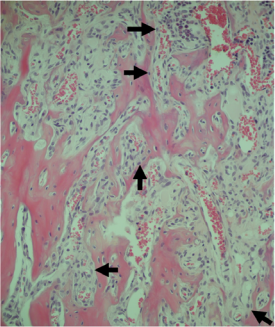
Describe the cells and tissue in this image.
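Newly forming bone in the marrow compartment, with irregular pink-staining matrix trabeculae separated by pale spaces. Small cells with dark purple nuclei line the trabecular surfaces, and some are partly enclosed at the matrix edges. Other nuclei lie within the pink matrix, and clusters of red blood cells fill several of the intervening spaces.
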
